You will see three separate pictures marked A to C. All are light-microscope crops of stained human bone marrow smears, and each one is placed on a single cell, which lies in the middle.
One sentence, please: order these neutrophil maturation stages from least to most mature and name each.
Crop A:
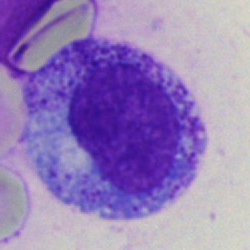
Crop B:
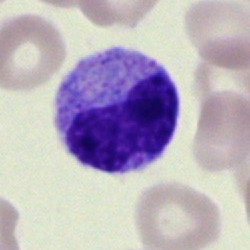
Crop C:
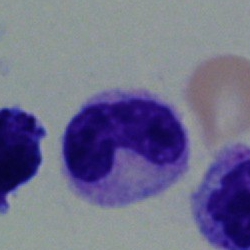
The crops, ordered from least to most mature, are crop A (a myelocyte), crop B (a metamyelocyte) and crop C (a band neutrophil).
